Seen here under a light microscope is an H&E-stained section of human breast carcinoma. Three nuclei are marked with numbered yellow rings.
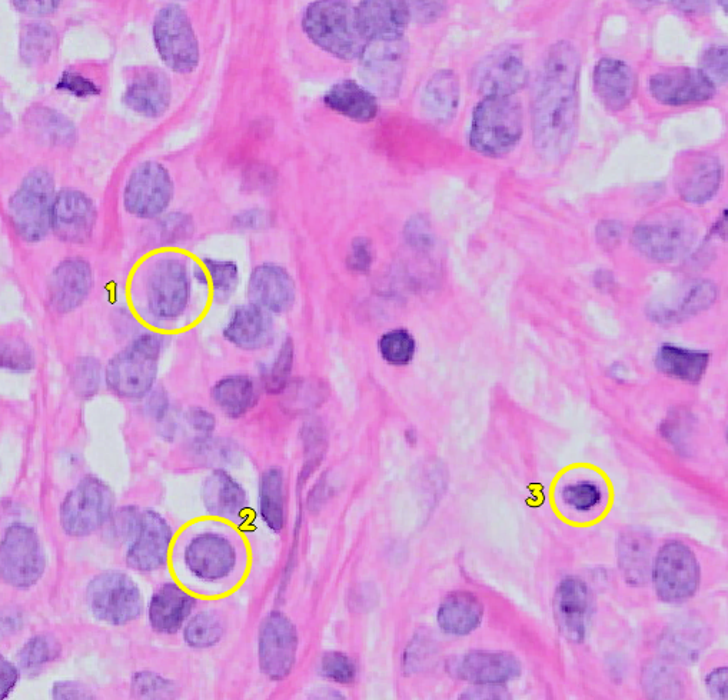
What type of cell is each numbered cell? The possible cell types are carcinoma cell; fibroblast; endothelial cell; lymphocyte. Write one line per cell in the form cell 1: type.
cell 1: carcinoma cell
cell 2: carcinoma cell
cell 3: lymphocyte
